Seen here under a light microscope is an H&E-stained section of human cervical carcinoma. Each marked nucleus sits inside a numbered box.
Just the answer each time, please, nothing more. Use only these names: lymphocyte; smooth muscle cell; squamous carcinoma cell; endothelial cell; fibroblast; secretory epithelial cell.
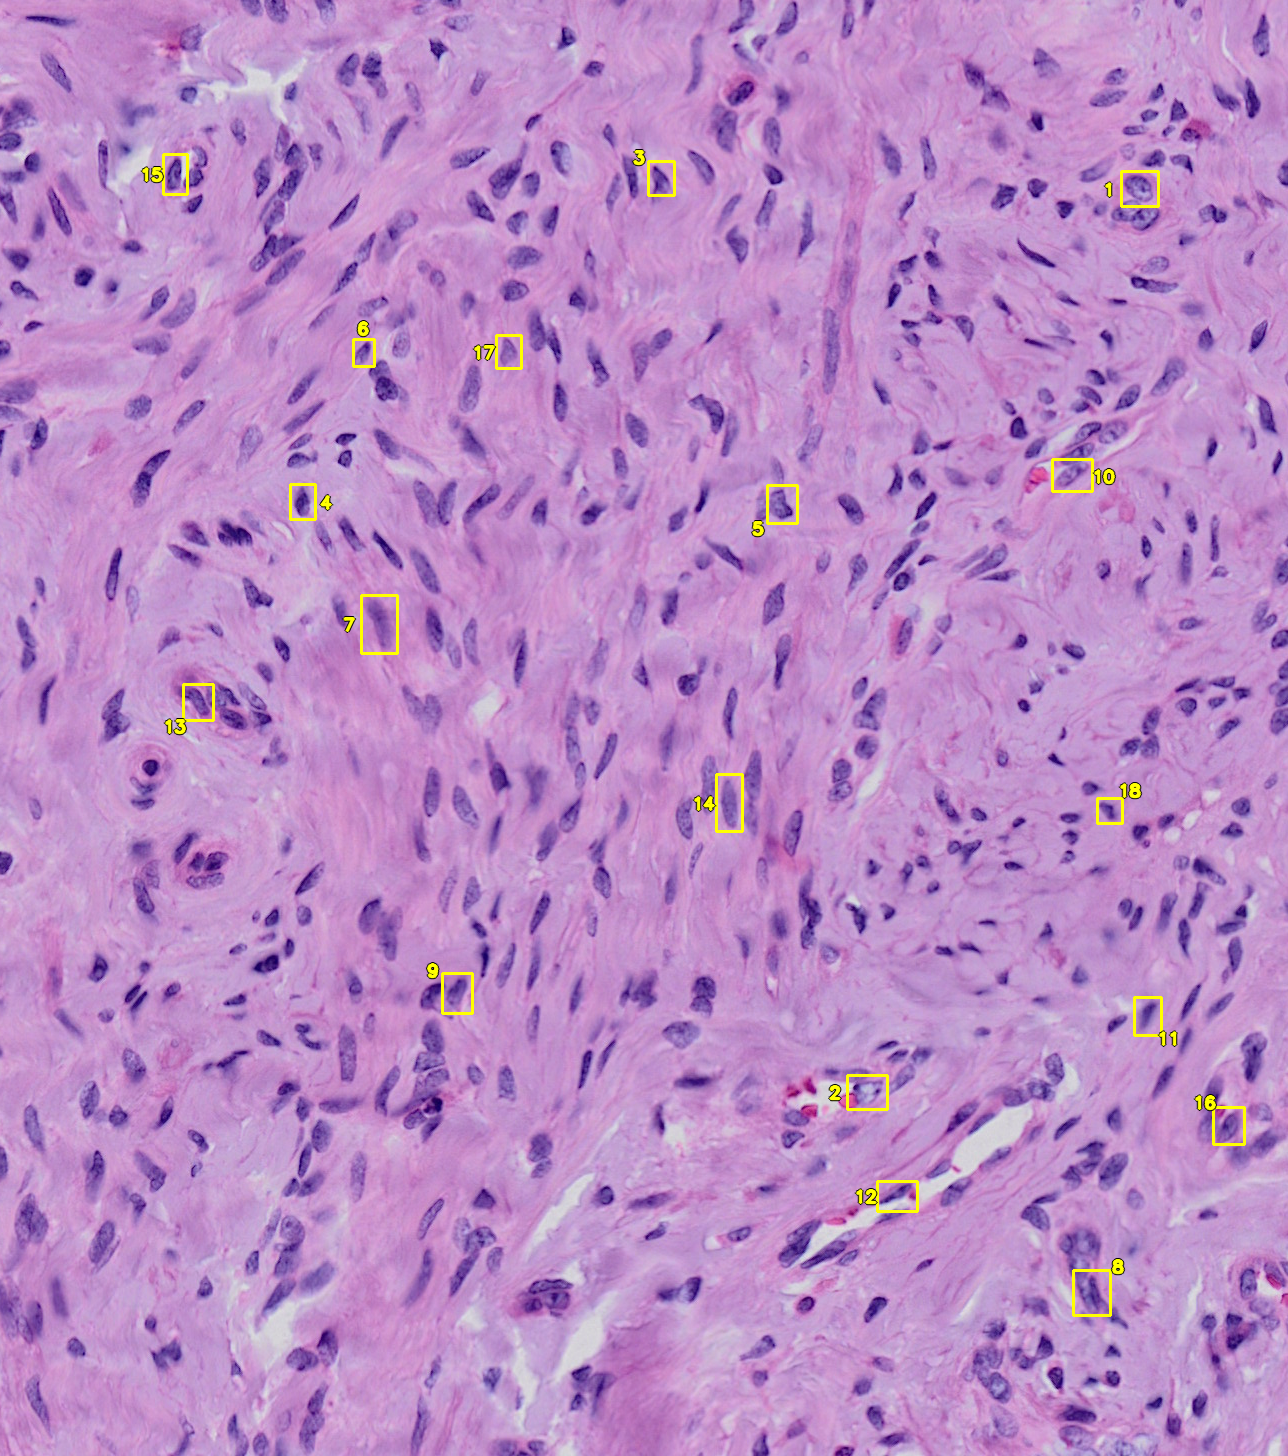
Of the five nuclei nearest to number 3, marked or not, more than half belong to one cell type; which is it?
fibroblast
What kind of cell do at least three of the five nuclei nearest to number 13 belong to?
smooth muscle cell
